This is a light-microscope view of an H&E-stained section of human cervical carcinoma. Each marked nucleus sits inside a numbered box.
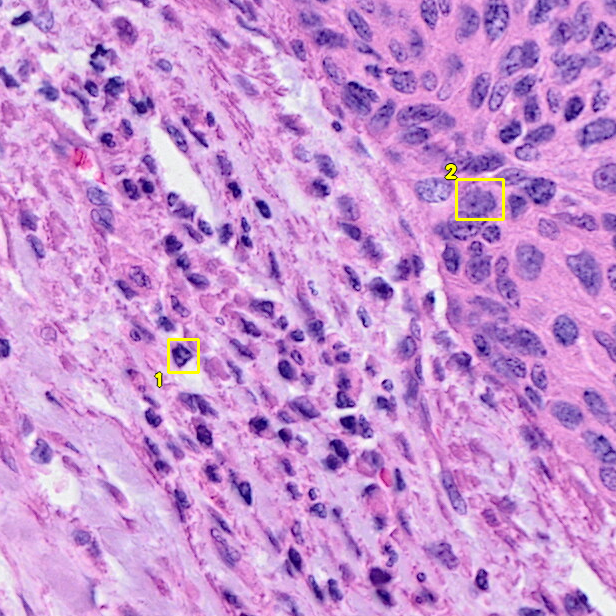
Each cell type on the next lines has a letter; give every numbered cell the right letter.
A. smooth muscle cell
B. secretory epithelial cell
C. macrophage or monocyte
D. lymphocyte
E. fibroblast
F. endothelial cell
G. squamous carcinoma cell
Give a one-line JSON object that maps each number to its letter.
{"1": "D", "2": "G"}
